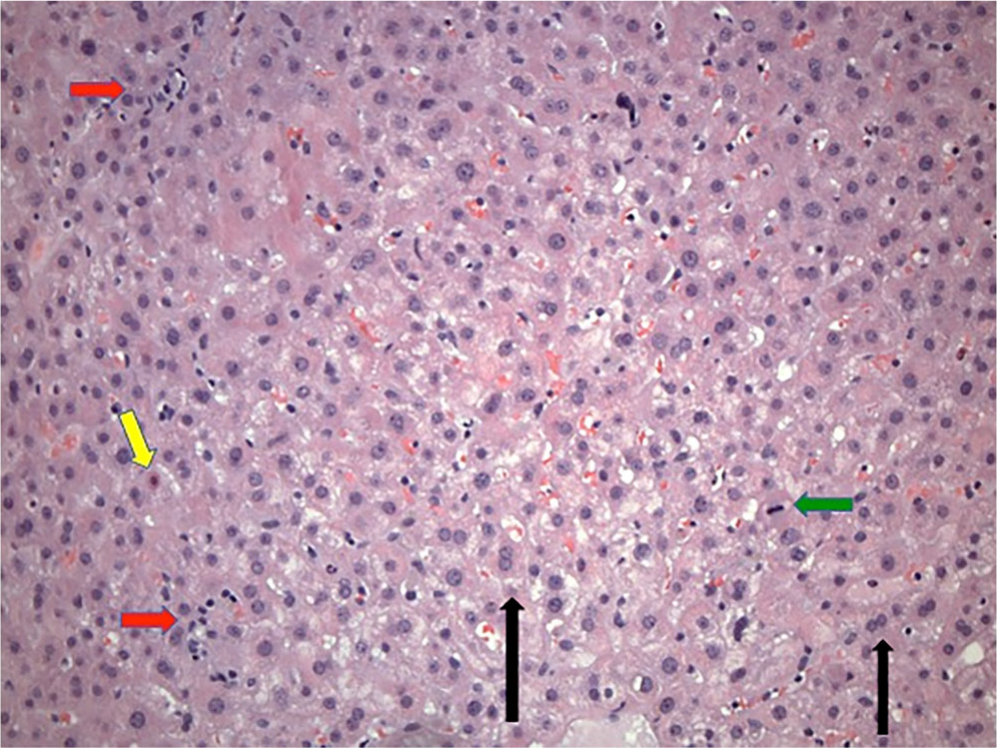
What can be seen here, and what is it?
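This is liver parenchyma made of polygonal hepatocytes that lie in plates, with pink cytoplasm and round, centrally placed purple nuclei that often show a nucleolus. Narrow sinusoids containing red blood cells run between the plates. In the middle of the field many hepatocytes have pale, cleared or finely vacuolated cytoplasm, and some of them carry two or more nuclei. Small clusters of dark, compact inflammatory nuclei sit between the hepatocytes, and scattered cells have a shrunken dark nucleus or condensed, dividing chromatin.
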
